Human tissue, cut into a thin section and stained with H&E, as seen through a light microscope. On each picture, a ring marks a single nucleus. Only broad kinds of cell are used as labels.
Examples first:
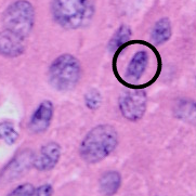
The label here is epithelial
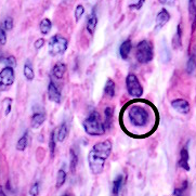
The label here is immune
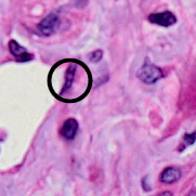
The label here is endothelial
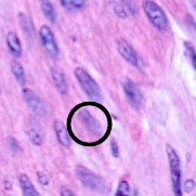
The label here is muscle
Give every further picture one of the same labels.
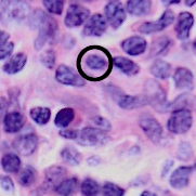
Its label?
immune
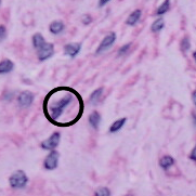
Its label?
muscle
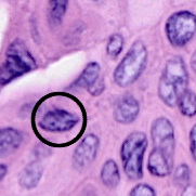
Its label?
epithelial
